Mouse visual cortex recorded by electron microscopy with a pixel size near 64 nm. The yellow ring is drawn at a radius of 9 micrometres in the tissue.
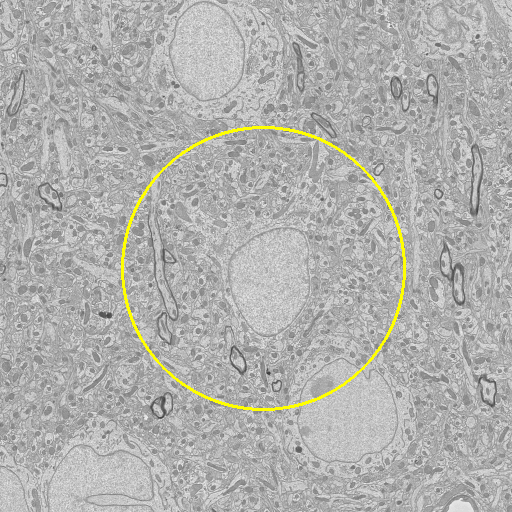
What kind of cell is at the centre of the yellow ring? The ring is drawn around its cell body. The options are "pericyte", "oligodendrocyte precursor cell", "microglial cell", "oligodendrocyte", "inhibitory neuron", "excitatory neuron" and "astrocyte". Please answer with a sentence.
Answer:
The yellow ring marks the cell body of an astrocyte.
